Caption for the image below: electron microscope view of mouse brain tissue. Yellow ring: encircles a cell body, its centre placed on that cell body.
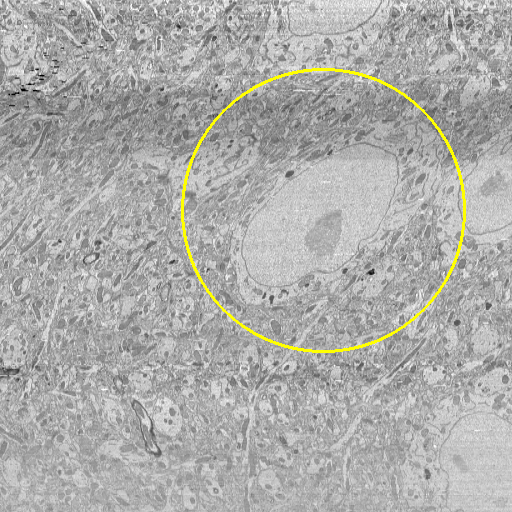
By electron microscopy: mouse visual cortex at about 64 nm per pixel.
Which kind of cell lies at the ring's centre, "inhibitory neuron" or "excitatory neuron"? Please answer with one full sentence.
The picture shows an excitatory neuron at the centre of the yellow ring.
